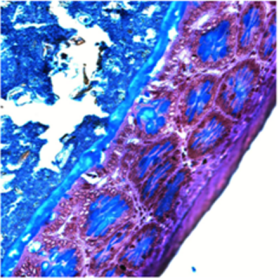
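This section of colonic mucosa shows crypts cut obliquely, appearing as rounded profiles within a purple-staining epithelium. Inside the crypts, clusters of goblet cells hold blue-staining mucus. Along the luminal surface of the mucosa runs a continuous band of blue mucus. Beyond this band the lumen contains loose blue-stained material. The deeper edge of the section is a denser purple layer.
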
